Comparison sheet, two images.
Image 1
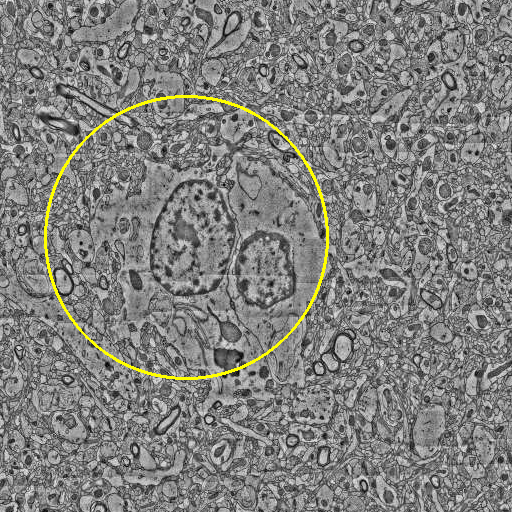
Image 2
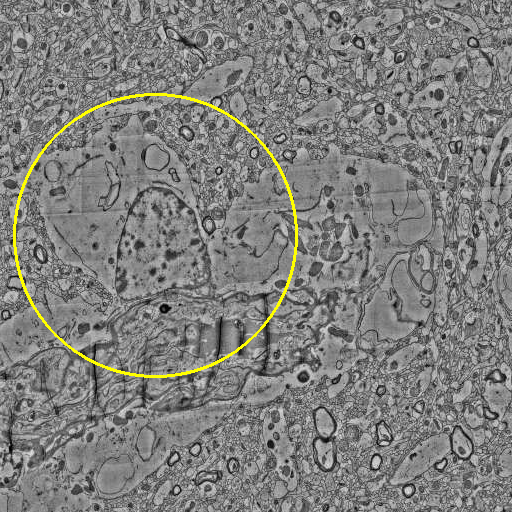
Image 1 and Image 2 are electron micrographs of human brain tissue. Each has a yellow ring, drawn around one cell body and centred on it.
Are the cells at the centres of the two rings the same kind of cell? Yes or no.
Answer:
yes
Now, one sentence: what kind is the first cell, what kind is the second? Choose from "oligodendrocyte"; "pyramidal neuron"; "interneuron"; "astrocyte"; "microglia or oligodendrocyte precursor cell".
Both cells are the same kind, each one being an astrocyte.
